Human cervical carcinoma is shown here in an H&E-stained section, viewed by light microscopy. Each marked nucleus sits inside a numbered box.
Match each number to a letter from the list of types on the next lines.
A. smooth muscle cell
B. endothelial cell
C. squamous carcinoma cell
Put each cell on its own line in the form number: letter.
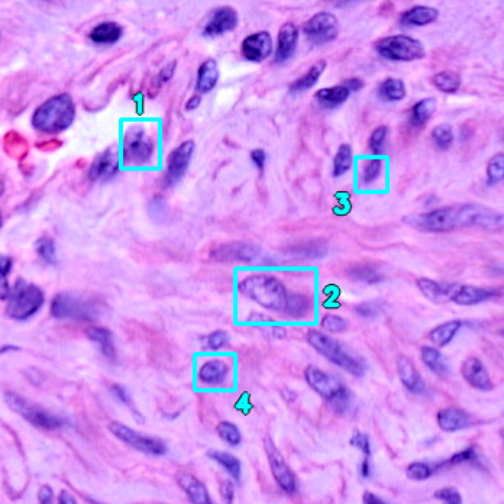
1: B
2: A
3: A
4: A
